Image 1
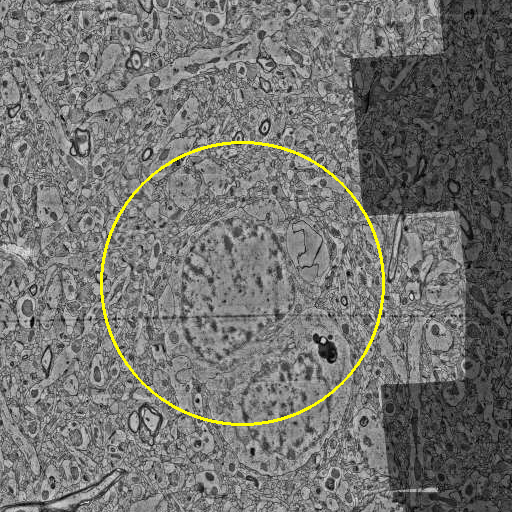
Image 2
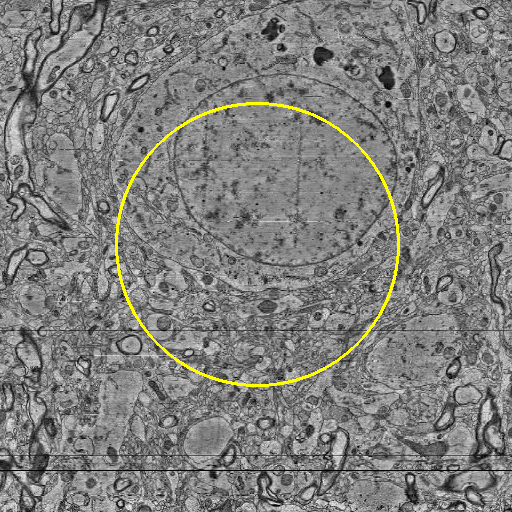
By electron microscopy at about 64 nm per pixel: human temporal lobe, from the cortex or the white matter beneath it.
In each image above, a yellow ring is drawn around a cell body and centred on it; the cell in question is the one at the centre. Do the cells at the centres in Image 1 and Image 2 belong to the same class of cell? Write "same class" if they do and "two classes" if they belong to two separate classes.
two classes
